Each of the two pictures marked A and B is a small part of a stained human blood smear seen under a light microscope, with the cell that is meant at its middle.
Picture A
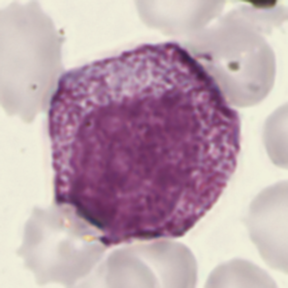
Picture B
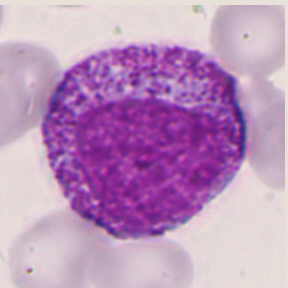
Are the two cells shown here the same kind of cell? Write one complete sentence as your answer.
Yes, they are the same type: both are promyelocytes.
